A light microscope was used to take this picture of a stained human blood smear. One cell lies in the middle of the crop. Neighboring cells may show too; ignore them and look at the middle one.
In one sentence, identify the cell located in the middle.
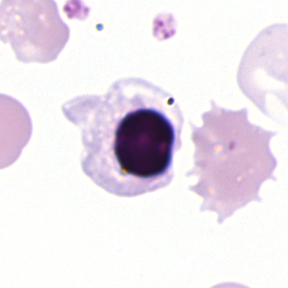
The cell positioned in the middle of the field is a normoblast.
